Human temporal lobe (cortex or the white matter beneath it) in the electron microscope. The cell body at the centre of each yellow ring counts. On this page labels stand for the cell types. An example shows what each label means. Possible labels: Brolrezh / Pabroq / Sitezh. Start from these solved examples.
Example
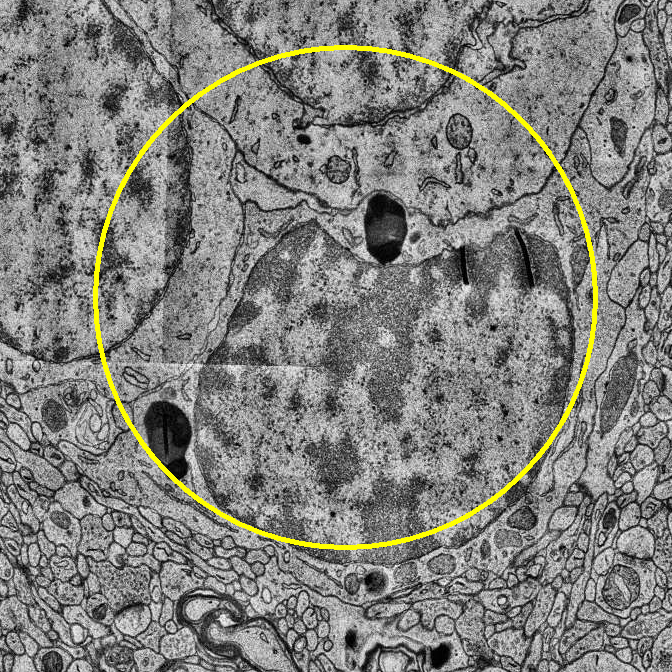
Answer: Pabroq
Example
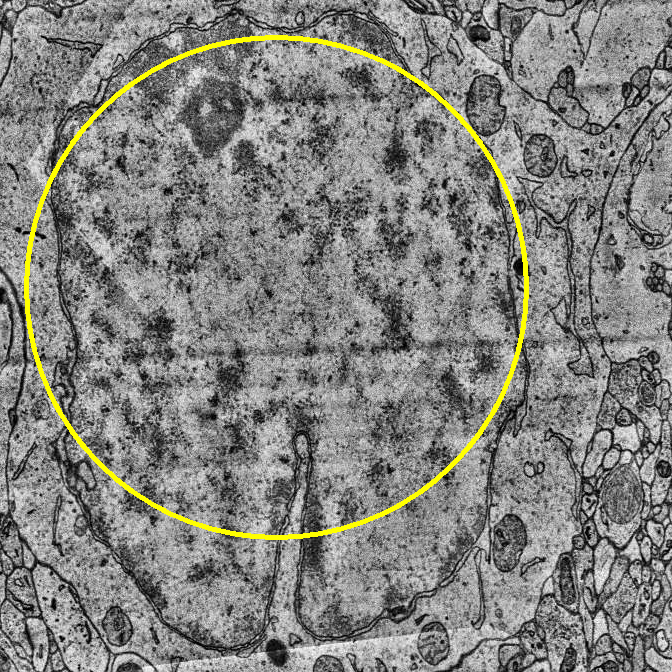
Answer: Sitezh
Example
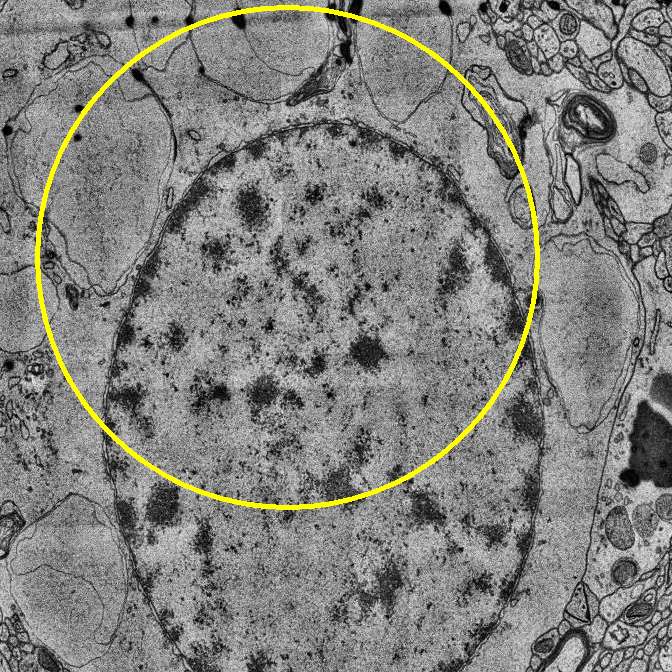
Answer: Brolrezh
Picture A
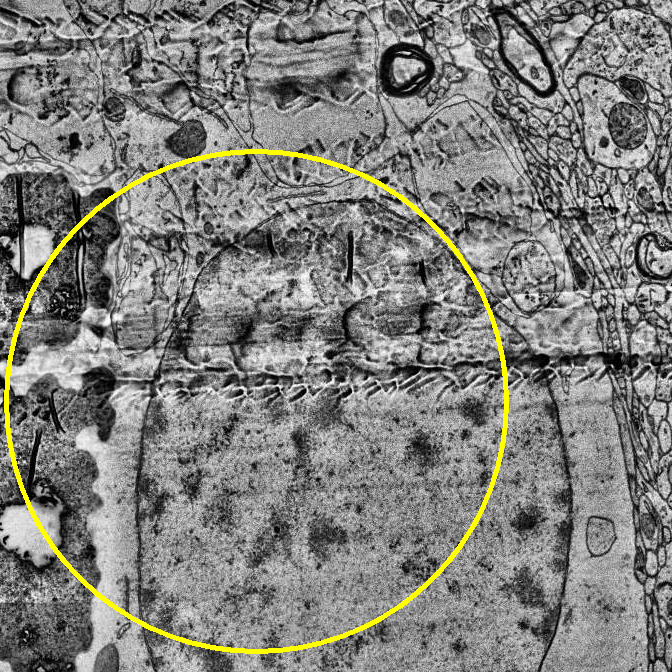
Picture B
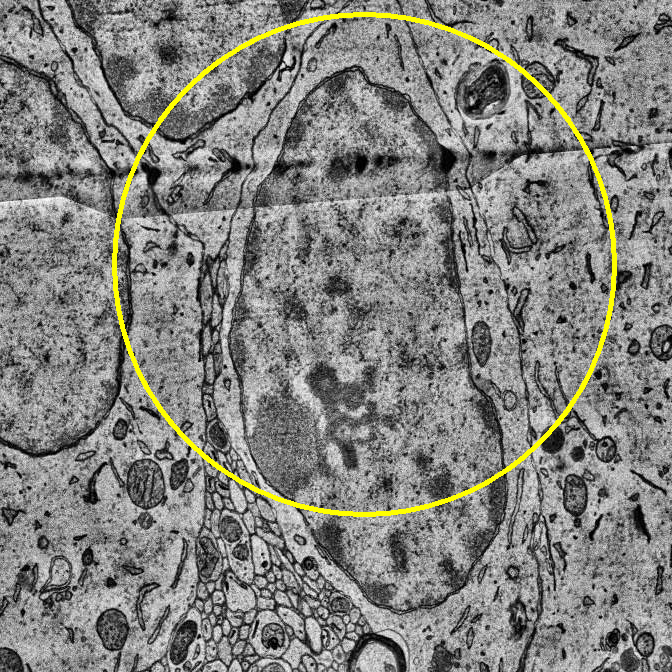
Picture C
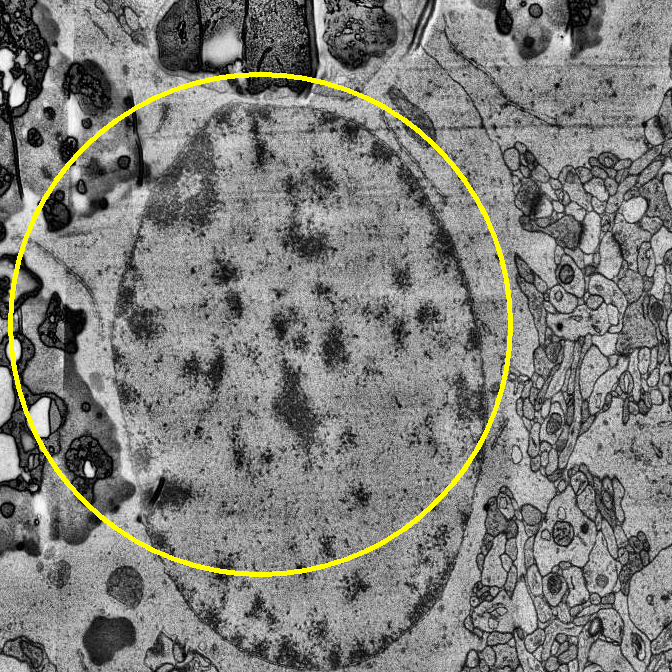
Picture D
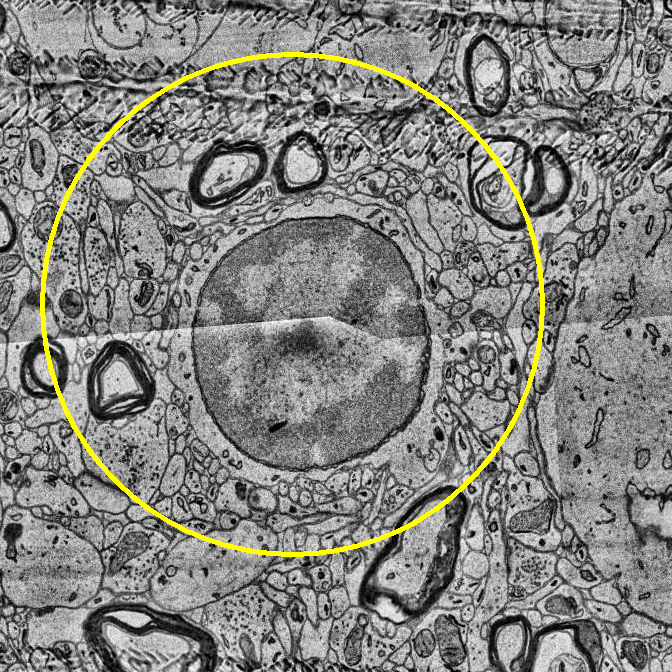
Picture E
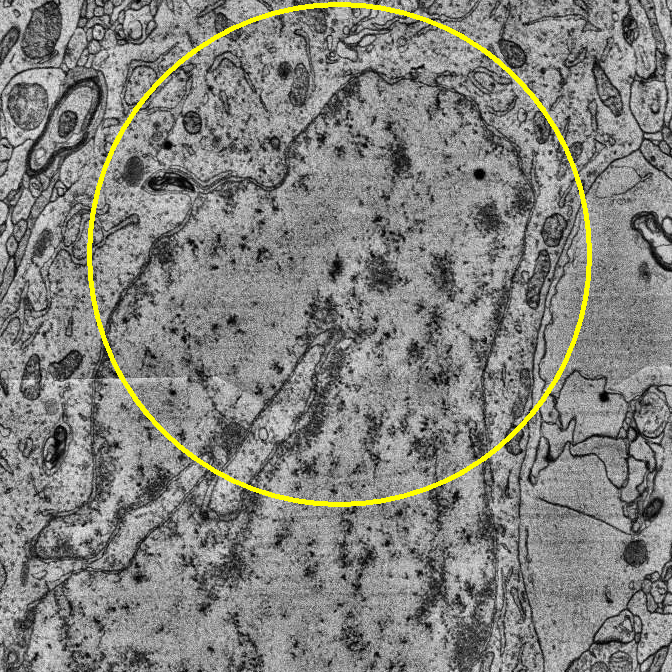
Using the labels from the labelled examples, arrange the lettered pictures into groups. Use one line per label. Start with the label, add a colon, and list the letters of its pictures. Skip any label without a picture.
Brolrezh: A, C
Pabroq: B, D
Sitezh: E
